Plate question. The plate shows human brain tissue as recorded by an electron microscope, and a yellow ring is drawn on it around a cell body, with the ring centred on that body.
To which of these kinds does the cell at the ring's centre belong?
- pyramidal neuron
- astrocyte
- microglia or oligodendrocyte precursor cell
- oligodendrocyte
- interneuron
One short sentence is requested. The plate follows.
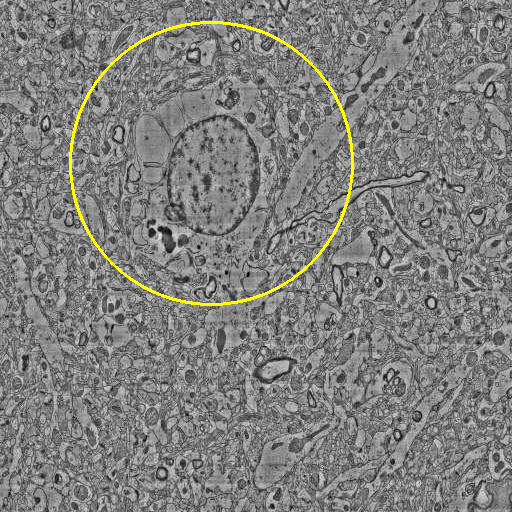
The cell at the ring's centre is an astrocyte.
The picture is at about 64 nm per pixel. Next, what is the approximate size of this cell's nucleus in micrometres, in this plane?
In this plane the nucleus measures roughly 8 by 6 micrometres.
